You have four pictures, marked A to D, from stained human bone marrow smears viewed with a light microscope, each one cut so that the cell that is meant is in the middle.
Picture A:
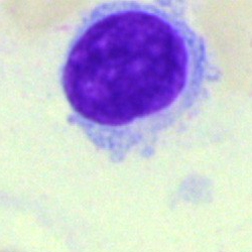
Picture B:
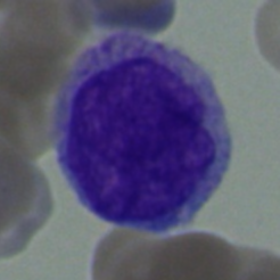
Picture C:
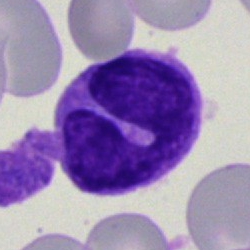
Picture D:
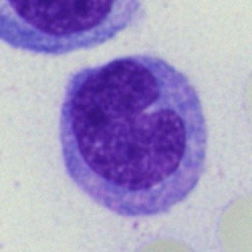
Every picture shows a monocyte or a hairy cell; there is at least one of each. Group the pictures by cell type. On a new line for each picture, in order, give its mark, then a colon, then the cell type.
A: hairy cell
B: monocyte
C: monocyte
D: monocyte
